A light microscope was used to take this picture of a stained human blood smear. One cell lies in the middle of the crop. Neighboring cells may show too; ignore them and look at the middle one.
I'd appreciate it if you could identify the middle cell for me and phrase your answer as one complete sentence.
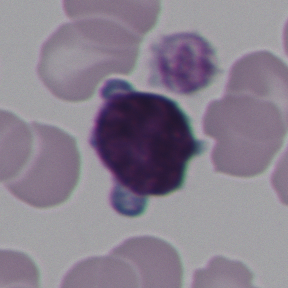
The crop centres on a single cell, and that cell is a lymphocyte.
